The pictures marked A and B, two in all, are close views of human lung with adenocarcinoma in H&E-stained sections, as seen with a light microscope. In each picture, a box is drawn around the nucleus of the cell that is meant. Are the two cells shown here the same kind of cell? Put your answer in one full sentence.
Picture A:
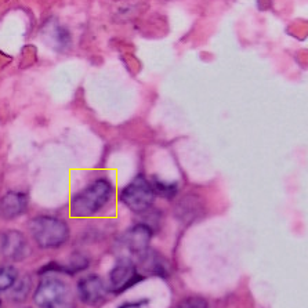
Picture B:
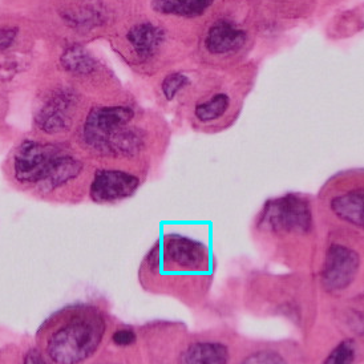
No, they differ: the cell is a ciliated epithelial cell in picture A and a carcinoma cell in picture B.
